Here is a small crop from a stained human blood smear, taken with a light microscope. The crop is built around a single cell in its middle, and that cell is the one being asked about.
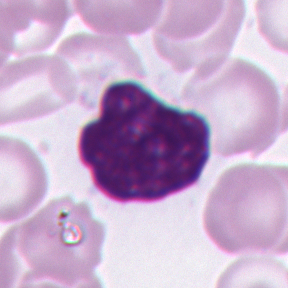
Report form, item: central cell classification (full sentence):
Seen at the centre of the crop is a smudge cell.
